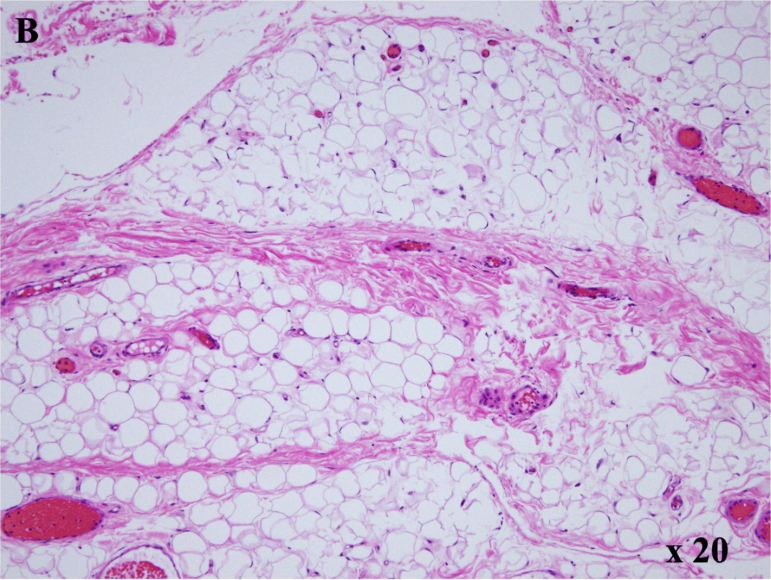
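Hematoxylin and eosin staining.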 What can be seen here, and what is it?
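This field shows lobules of fat tissue made up of adipocytes. The few nuclei present are small, dark and flattened against the cell edge. The lobules are divided by bands of pink, wavy fibrous connective tissue. Within these septa run numerous small blood vessels, many filled with bright red erythrocytes.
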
